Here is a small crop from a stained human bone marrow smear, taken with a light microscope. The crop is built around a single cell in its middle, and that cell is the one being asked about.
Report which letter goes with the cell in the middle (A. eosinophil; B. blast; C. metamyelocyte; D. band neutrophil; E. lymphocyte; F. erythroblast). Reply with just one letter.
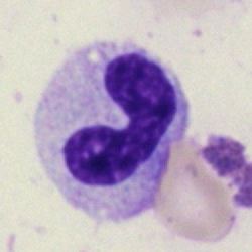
D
